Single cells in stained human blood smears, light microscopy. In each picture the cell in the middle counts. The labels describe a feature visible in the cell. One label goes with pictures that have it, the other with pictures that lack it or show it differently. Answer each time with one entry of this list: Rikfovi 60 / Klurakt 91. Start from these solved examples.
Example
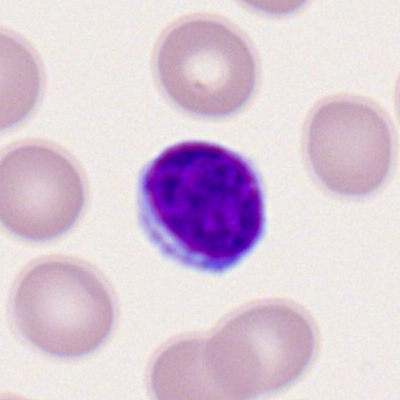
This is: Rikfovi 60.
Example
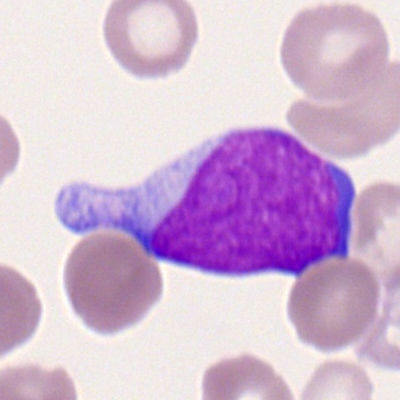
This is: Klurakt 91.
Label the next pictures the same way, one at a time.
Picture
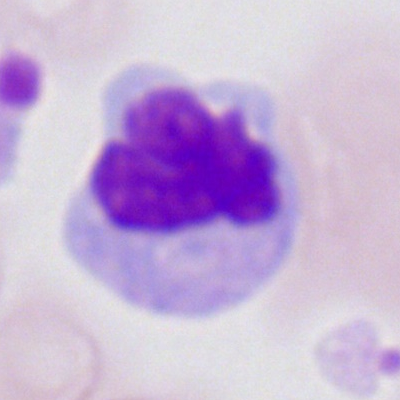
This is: Klurakt 91.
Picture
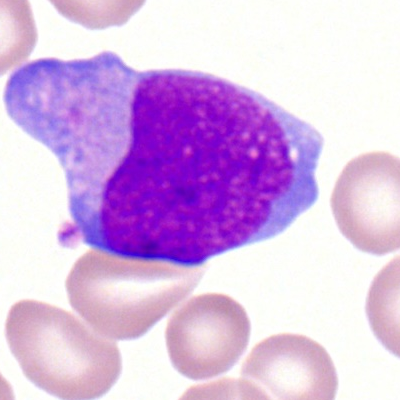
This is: Klurakt 91.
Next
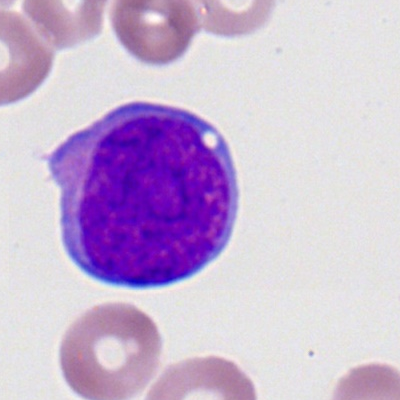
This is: Klurakt 91.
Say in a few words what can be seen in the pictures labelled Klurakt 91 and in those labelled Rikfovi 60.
Klurakt 91, ragged outline or projections; Rikfovi 60, smooth outline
